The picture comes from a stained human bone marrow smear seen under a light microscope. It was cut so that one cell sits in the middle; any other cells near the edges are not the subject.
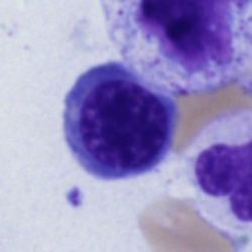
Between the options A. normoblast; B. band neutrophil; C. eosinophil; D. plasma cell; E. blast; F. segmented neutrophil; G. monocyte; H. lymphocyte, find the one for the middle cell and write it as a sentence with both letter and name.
That cell in the center is a normoblast, hence option A.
